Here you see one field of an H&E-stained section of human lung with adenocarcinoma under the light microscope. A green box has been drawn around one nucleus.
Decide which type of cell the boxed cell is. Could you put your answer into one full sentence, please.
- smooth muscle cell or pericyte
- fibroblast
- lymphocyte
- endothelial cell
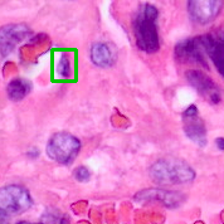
With respect to cell type, the boxed cell is an endothelial cell.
